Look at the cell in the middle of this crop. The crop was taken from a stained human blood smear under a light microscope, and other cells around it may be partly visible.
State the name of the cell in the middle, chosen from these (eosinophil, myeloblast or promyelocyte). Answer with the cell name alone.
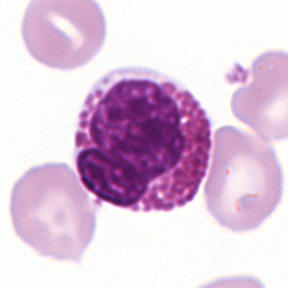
eosinophil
